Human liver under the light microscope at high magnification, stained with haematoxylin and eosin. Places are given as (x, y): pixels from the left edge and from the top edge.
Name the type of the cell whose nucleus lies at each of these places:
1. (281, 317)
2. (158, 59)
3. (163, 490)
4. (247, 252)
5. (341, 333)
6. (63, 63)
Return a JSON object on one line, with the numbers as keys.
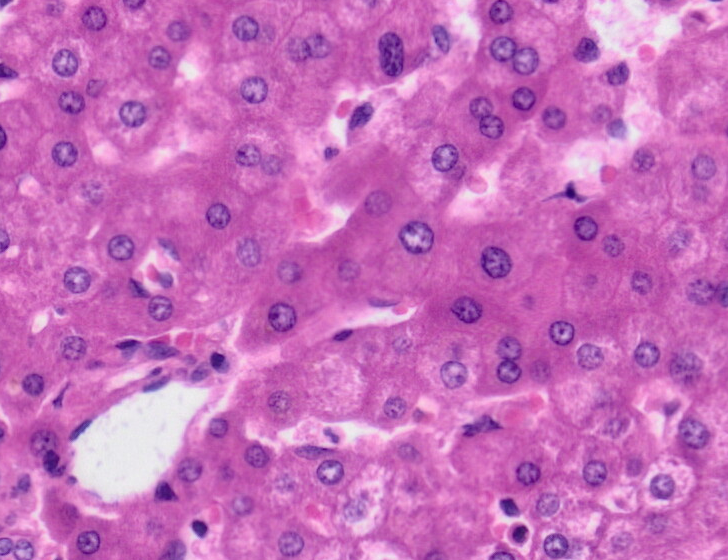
{"1": "hepatocyte", "2": "hepatocyte", "3": "fibroblast or stellate cell", "4": "hepatocyte", "5": "fibroblast or stellate cell", "6": "hepatocyte"}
